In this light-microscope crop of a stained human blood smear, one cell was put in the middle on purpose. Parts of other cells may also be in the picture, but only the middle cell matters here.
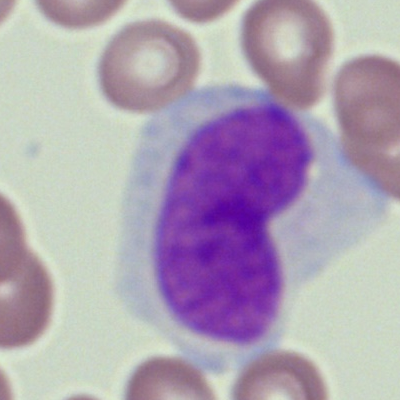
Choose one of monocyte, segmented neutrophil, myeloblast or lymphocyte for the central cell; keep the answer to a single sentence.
The cell sitting right in the middle is a monocyte.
